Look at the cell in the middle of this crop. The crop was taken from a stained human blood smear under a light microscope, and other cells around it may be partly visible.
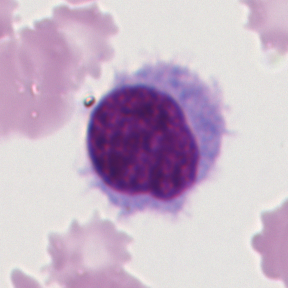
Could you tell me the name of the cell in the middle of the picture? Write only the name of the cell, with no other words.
hairy cell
